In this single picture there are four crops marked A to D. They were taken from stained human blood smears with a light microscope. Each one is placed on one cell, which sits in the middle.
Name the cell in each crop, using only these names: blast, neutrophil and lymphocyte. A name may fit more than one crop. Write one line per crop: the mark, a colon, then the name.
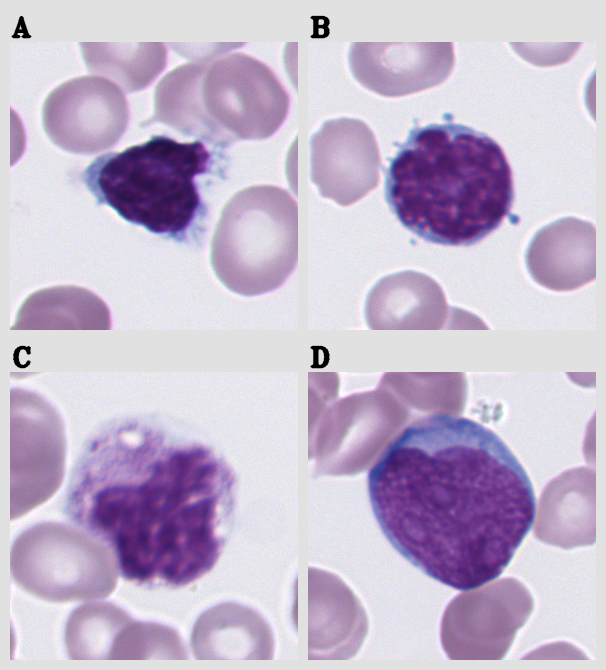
A: lymphocyte
B: lymphocyte
C: neutrophil
D: blast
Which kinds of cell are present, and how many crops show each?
lymphocyte: 2
neutrophil: 1
blast: 1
